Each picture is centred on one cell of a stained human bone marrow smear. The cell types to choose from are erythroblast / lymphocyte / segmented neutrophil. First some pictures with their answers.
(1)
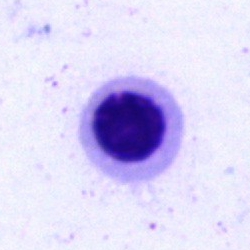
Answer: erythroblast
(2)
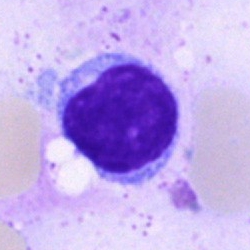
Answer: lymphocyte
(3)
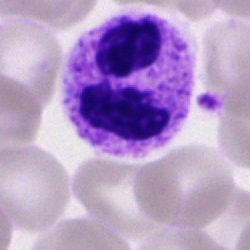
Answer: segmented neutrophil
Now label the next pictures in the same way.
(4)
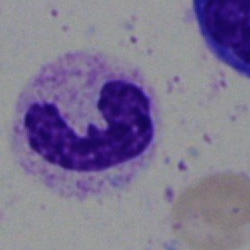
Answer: segmented neutrophil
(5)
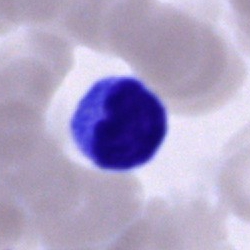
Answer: lymphocyte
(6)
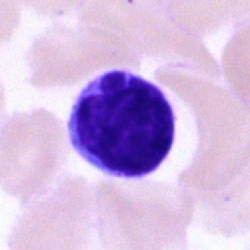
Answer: lymphocyte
